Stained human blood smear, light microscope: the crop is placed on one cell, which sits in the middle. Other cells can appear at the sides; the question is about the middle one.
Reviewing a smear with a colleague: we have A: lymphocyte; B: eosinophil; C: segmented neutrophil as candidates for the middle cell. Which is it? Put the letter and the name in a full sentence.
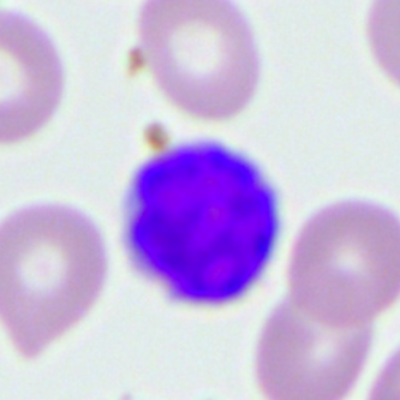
Option A correctly names the cell in the middle as a lymphocyte.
